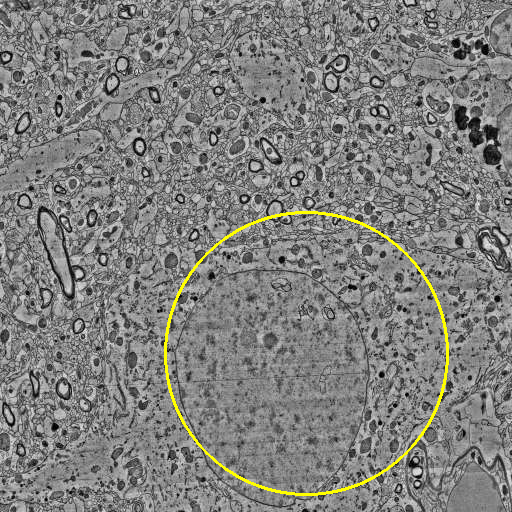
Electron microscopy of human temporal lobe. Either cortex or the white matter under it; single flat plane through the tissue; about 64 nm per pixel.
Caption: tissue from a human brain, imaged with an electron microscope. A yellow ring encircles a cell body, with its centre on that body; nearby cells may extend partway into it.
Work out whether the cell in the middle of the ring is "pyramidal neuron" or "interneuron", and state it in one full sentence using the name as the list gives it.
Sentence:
In the picture, the cell that the yellow ring surrounds at its centre is a pyramidal neuron.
